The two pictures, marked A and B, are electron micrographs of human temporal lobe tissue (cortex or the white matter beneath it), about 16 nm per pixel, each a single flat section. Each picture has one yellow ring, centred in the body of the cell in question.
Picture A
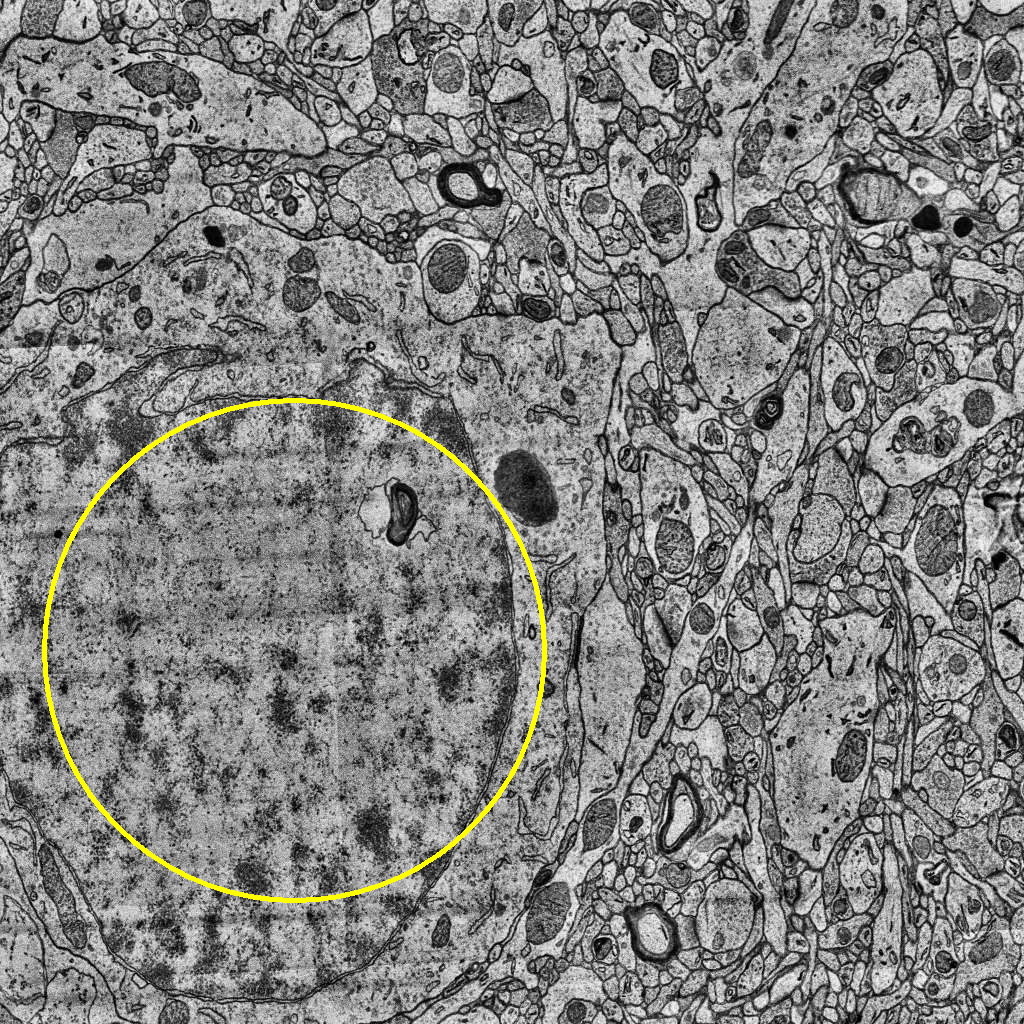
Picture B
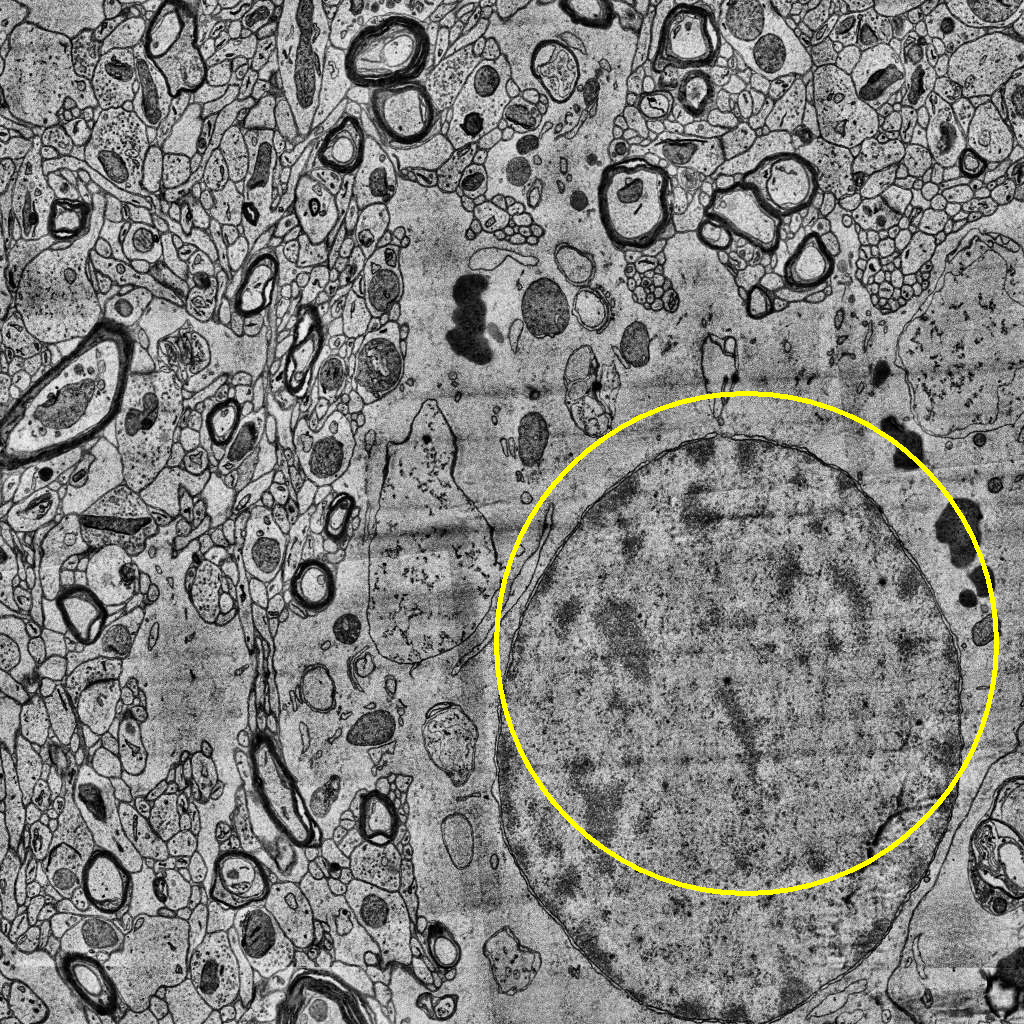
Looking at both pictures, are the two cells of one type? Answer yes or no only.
no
